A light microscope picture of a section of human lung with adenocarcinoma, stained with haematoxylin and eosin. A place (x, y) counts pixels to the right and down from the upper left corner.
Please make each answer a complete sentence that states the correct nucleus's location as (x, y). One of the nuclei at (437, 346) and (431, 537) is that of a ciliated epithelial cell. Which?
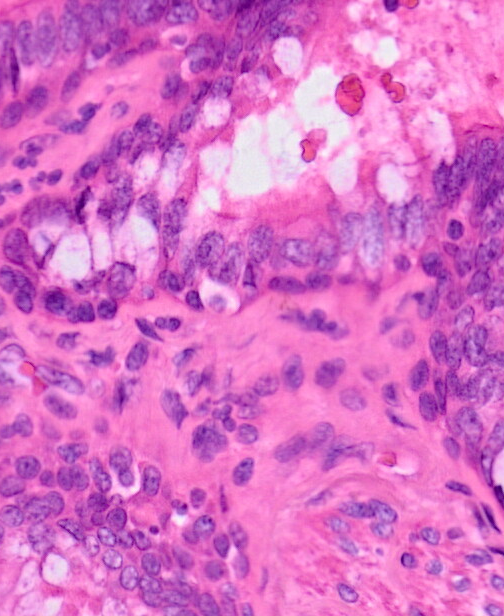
The nucleus belonging to a ciliated epithelial cell is the one at (437, 346).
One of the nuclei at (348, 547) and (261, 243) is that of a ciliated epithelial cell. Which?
That would be the nucleus at (261, 243); it belongs to a ciliated epithelial cell.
